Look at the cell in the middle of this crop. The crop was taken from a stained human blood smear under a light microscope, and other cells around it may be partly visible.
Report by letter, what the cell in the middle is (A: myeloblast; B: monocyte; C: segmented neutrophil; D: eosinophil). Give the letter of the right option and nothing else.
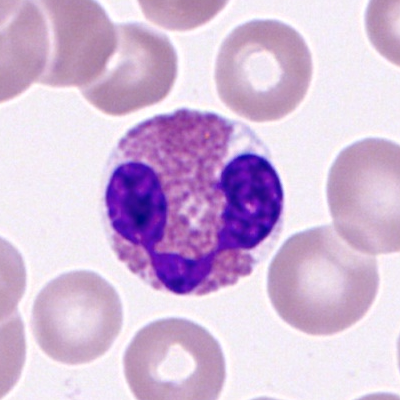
D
